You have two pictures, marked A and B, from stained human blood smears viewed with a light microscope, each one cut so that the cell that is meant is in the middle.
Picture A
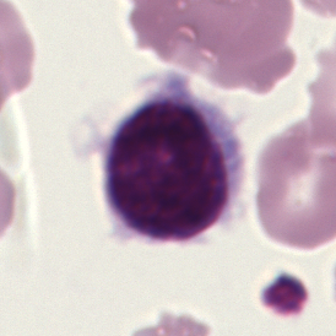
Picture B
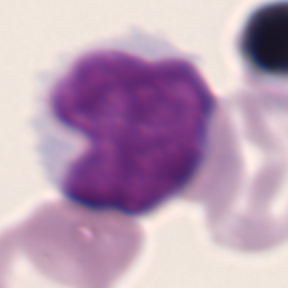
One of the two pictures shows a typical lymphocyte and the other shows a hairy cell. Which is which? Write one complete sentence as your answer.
It is picture A that shows a hairy cell, and picture B that shows a typical lymphocyte.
